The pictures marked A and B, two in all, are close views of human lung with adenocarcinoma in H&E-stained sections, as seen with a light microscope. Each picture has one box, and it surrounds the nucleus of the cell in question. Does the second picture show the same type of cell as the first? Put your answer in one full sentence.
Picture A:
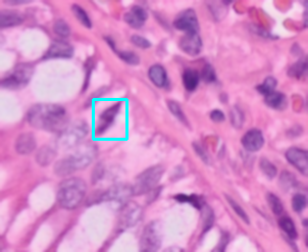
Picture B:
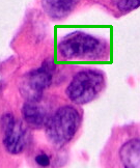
No, they differ: the cell is a ciliated epithelial cell in picture A and a carcinoma cell in picture B.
